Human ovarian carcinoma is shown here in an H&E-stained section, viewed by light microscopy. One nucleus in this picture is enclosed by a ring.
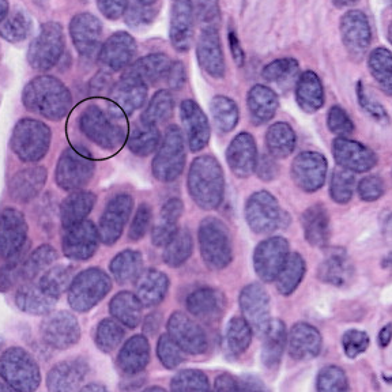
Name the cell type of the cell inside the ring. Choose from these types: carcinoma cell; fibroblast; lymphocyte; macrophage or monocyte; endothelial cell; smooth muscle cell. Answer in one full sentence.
In the tissue at hand, the cell inside the ring is a carcinoma cell.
